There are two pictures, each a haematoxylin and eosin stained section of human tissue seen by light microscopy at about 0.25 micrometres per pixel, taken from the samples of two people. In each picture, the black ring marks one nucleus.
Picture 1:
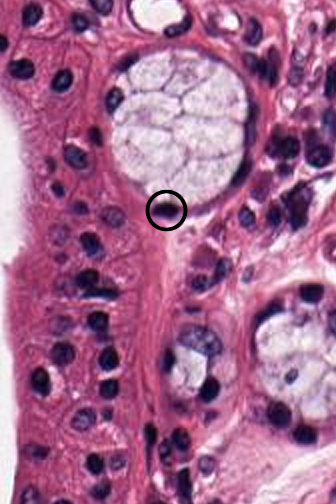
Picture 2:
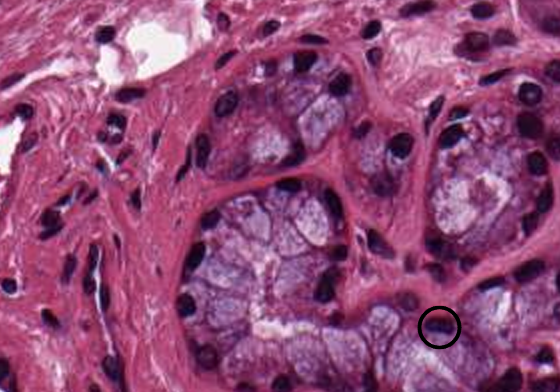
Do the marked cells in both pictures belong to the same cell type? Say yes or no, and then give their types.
Yes, both are mucous gland cells.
